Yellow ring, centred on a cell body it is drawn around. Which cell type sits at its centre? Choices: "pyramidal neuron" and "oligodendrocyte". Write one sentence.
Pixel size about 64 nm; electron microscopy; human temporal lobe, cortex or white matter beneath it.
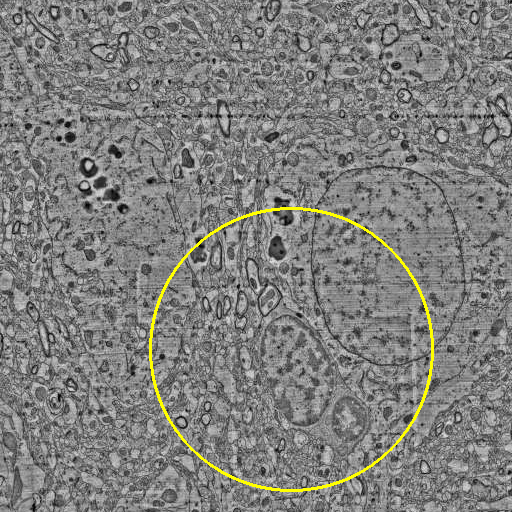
At the centre of the ring sits an oligodendrocyte.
